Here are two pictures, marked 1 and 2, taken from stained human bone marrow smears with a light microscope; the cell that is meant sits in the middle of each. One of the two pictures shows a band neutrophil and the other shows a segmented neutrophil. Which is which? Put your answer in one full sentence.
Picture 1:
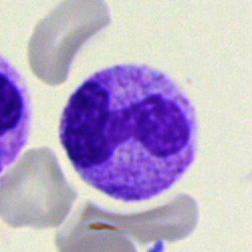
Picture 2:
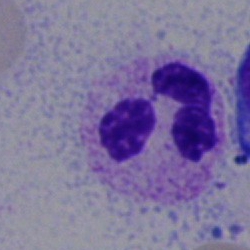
Picture 1 is of a band neutrophil, and picture 2 is of a segmented neutrophil.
